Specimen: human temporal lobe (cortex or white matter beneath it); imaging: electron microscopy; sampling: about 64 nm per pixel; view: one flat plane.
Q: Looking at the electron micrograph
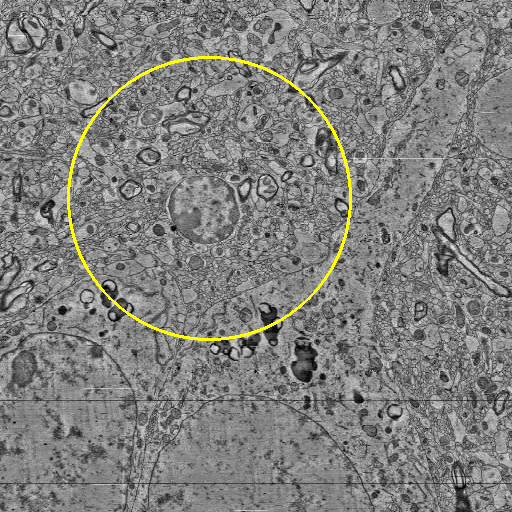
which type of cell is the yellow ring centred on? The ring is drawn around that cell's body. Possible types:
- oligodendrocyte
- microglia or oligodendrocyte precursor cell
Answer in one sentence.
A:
The yellow ring is centred on a microglial cell or oligodendrocyte precursor cell.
